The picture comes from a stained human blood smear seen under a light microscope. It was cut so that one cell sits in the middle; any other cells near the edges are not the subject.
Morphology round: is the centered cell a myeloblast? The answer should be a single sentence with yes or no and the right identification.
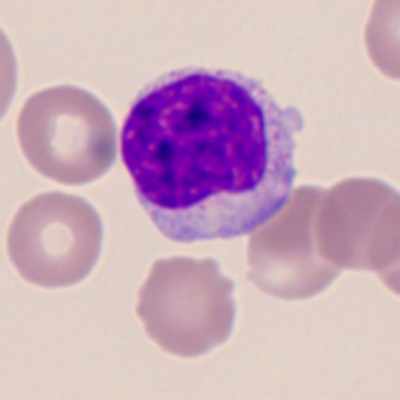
No, in this crop the central cell is a lymphocyte instead of a myeloblast.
